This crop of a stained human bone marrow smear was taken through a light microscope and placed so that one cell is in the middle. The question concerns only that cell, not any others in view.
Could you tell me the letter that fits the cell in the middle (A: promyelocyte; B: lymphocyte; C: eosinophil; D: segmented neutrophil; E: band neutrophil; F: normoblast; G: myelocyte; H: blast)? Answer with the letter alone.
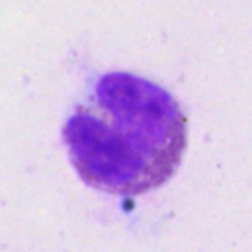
C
